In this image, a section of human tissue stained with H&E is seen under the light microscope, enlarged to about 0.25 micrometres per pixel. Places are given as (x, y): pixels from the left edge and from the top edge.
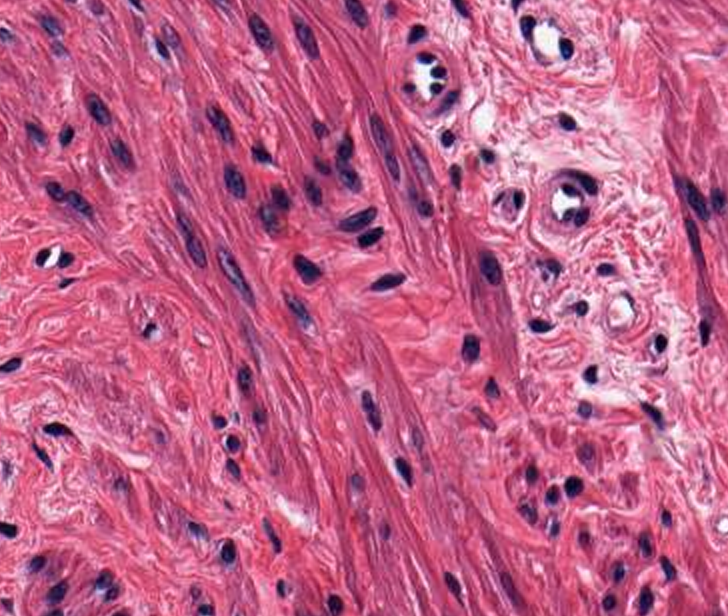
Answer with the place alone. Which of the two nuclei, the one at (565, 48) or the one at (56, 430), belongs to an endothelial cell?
(565, 48)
